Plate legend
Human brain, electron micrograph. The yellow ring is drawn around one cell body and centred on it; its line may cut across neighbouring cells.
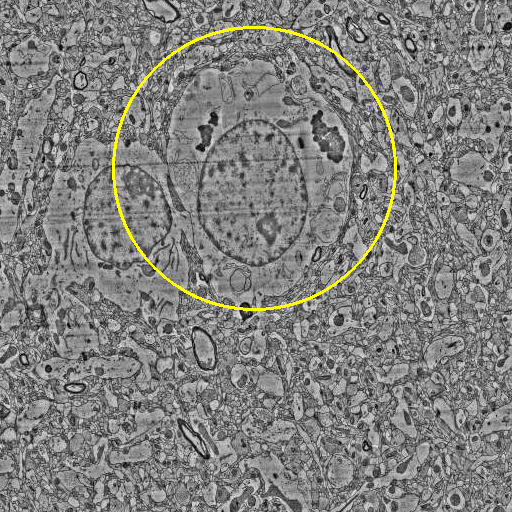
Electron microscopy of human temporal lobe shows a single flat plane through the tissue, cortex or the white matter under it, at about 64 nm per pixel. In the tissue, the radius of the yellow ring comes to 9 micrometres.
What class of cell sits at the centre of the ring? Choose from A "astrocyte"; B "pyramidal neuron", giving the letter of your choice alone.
A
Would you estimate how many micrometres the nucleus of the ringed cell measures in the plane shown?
The ringed cell's nucleus is about 9 micrometres long and 7 micrometres wide in this plane.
